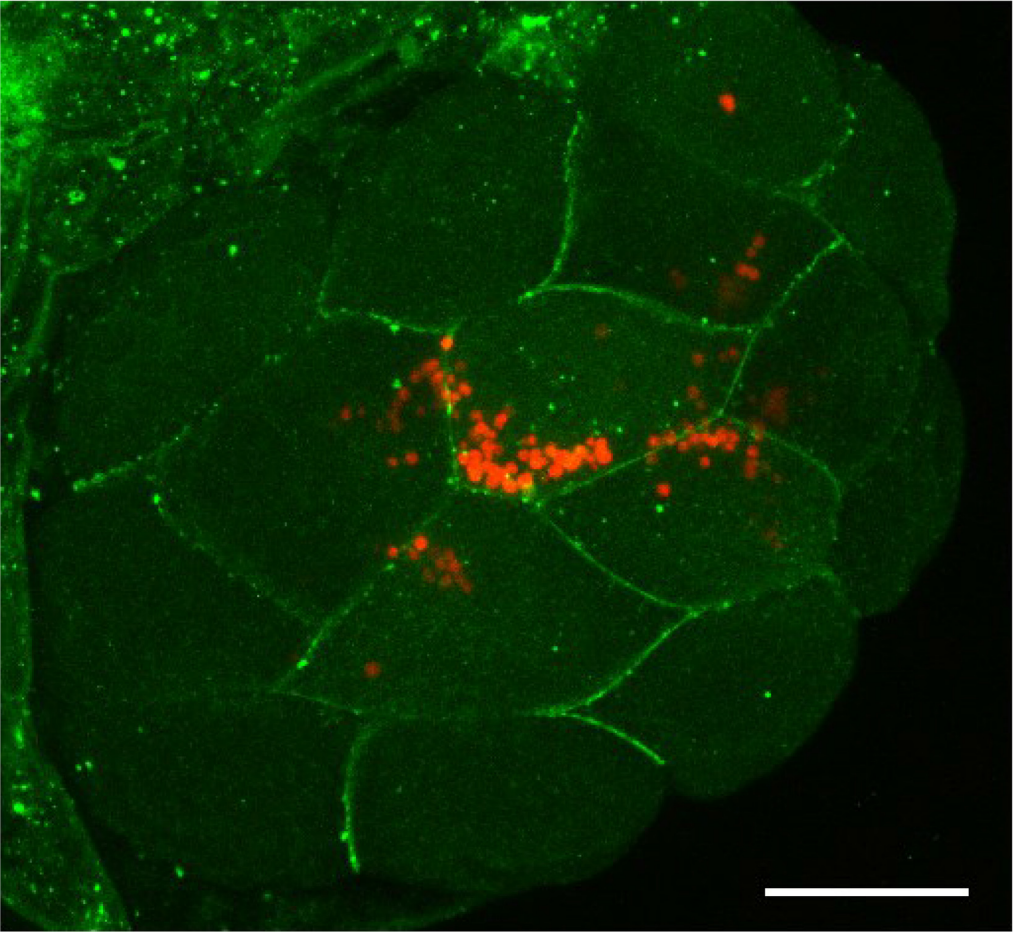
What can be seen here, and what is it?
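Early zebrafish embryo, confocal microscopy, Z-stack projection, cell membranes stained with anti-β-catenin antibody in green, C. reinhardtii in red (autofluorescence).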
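Small round red bodies, many of about the same size, cluster near the centre of the cap and lie within the outlines of several of these cells. Fewer red bodies are scattered farther out.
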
